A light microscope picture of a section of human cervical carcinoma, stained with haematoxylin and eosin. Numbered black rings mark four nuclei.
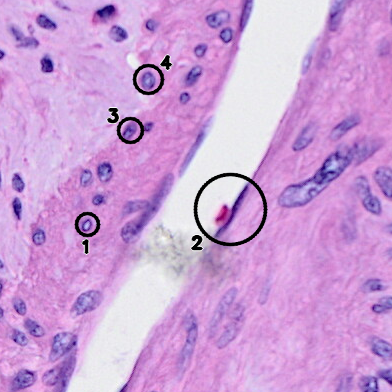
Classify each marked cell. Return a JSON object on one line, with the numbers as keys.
{"1": "smooth muscle cell", "2": "endothelial cell", "3": "smooth muscle cell", "4": "smooth muscle cell"}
